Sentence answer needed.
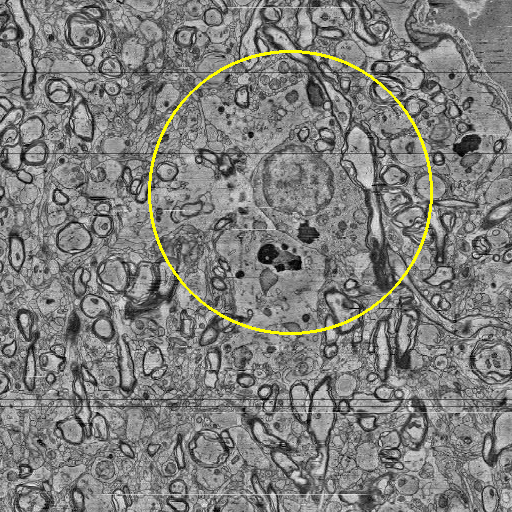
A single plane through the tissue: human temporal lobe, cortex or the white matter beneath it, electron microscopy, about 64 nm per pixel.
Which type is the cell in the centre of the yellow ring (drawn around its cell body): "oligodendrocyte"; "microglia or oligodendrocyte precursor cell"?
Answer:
In the centre of the yellow ring is an oligodendrocyte.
